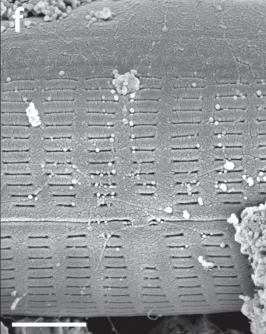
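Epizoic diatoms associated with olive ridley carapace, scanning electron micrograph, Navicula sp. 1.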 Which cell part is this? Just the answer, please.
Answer: Central area.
